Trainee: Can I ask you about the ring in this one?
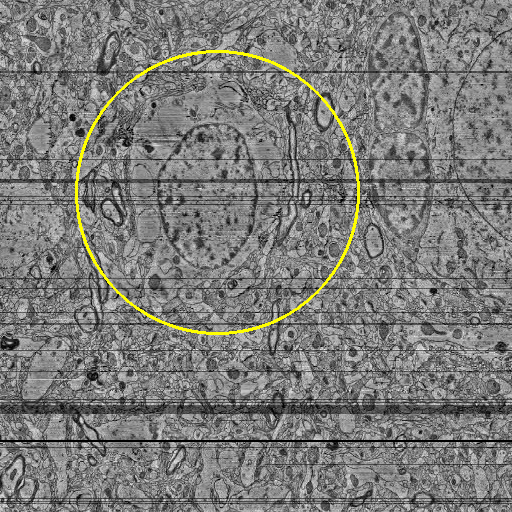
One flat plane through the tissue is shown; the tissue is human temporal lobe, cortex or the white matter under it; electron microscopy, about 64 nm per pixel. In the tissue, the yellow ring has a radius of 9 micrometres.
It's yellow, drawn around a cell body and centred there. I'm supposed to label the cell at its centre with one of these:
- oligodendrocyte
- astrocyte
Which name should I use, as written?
astrocyte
